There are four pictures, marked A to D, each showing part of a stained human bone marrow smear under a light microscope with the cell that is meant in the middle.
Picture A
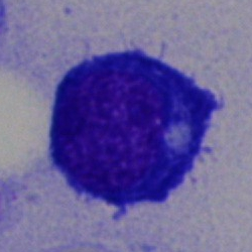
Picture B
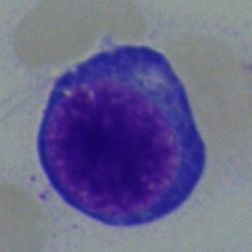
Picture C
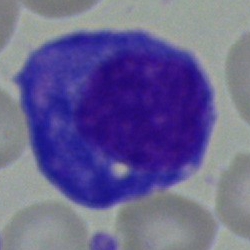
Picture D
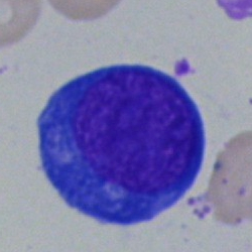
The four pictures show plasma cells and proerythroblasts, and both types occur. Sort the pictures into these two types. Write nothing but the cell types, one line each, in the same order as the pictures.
proerythroblast
proerythroblast
plasma cell
proerythroblast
